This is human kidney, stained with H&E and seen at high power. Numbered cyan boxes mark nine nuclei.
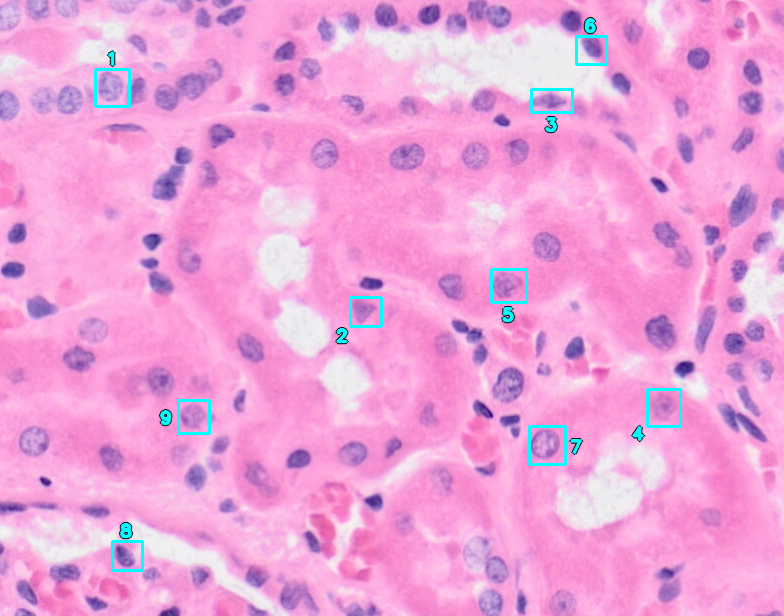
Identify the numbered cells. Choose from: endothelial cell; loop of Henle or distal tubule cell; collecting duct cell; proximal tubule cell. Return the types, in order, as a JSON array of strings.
["collecting duct cell", "proximal tubule cell", "loop of Henle or distal tubule cell", "proximal tubule cell", "proximal tubule cell", "loop of Henle or distal tubule cell", "proximal tubule cell", "endothelial cell", "proximal tubule cell"]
